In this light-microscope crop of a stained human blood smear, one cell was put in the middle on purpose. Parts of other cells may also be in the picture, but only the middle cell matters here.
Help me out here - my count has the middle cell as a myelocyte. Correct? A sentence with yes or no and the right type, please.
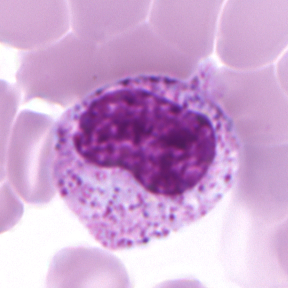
No, the middle of the crop holds a metamyelocyte, not a myelocyte.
